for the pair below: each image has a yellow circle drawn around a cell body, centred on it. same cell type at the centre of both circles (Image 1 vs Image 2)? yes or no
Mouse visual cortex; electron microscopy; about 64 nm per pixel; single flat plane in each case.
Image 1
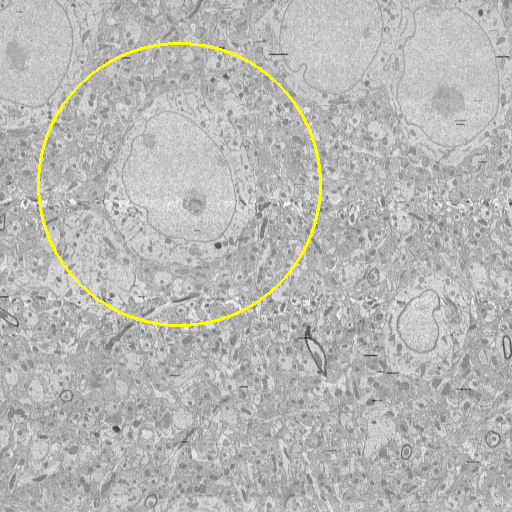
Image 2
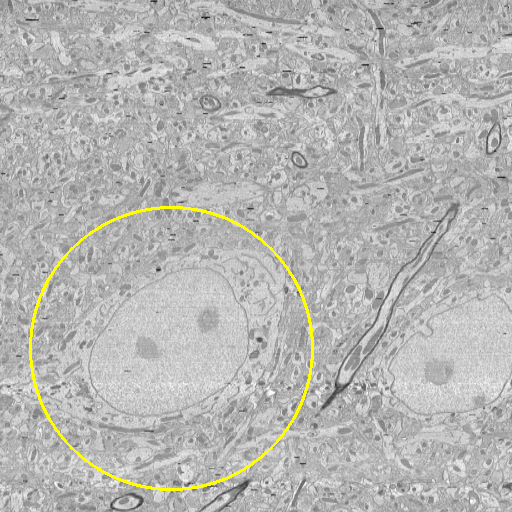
yes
